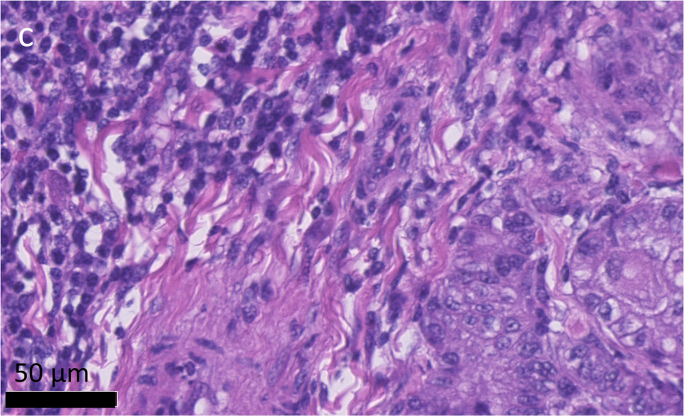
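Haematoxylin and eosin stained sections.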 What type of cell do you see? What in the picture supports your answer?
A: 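Densely packed small cells with round dark nuclei and scant cytoplasm fill the upper left. They are separated from the epithelial cells at right by pink wavy fibres.
Mononuclear immune cells.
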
